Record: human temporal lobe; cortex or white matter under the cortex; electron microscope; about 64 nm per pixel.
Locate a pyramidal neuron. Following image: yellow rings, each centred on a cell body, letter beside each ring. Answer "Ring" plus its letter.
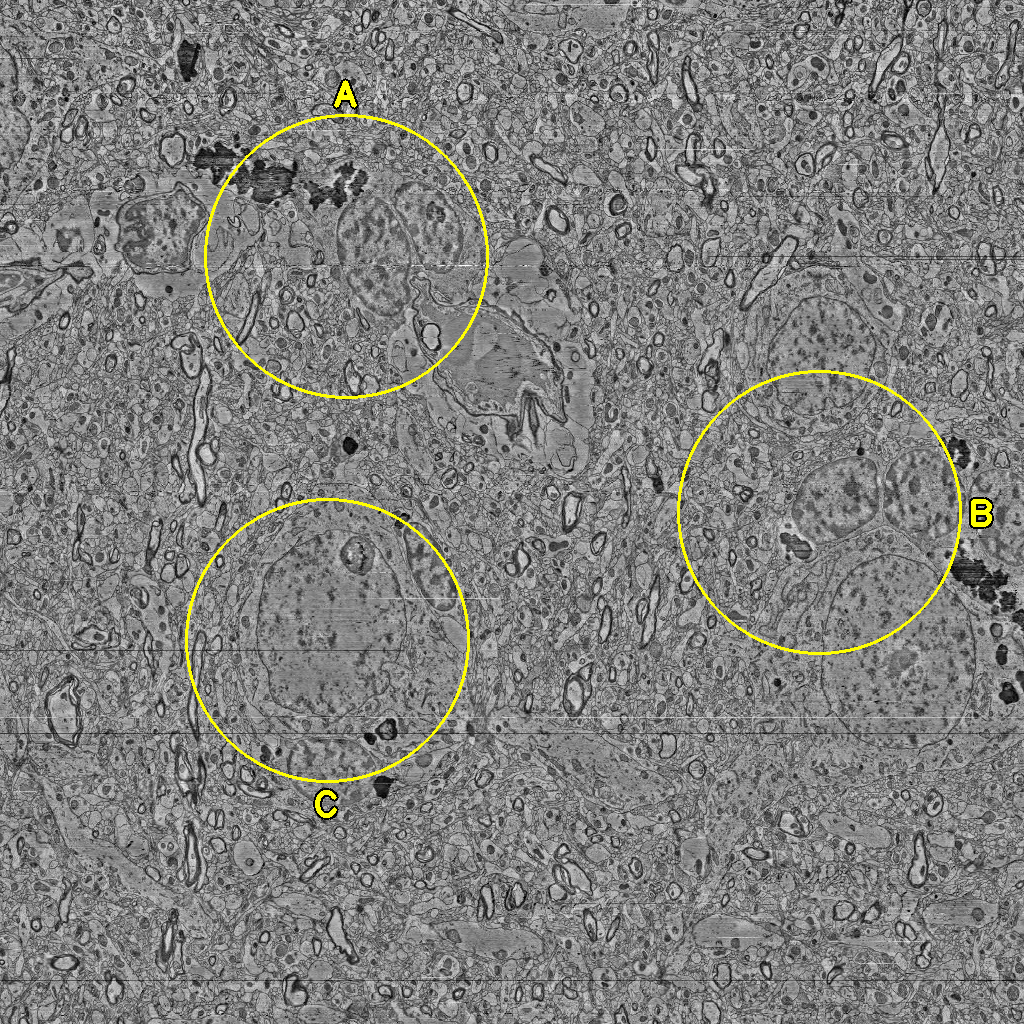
Ring C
